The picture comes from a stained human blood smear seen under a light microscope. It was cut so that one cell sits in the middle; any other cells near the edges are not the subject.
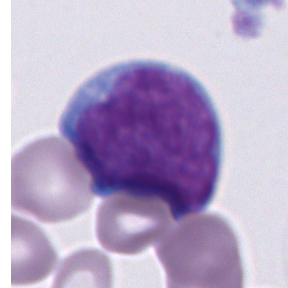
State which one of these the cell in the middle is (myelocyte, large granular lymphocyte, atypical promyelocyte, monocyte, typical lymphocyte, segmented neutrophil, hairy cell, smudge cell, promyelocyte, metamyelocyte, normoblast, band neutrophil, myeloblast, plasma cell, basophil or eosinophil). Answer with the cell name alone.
myeloblast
